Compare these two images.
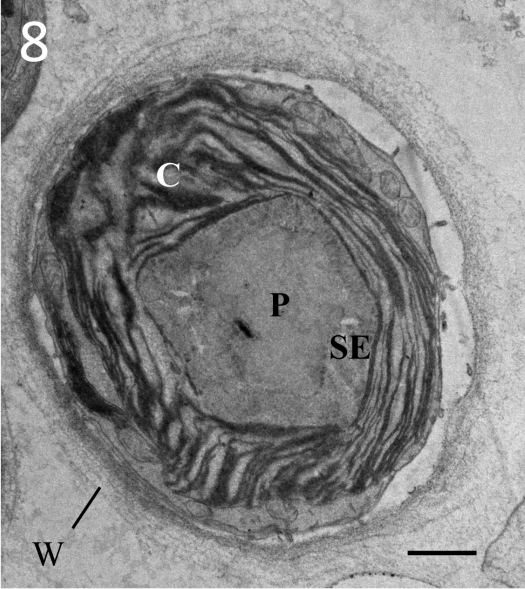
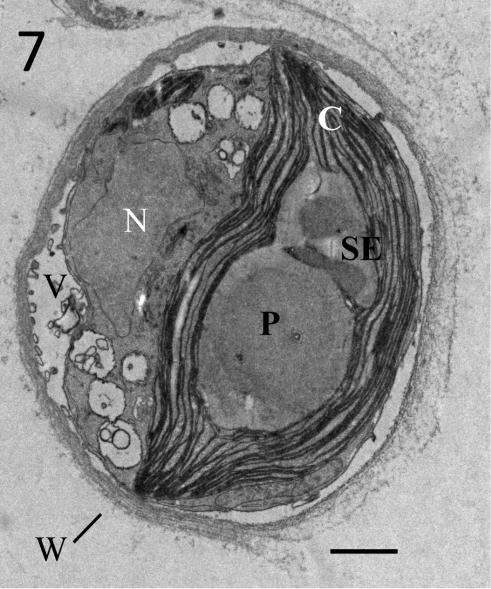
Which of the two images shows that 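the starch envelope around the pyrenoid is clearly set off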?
the second image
